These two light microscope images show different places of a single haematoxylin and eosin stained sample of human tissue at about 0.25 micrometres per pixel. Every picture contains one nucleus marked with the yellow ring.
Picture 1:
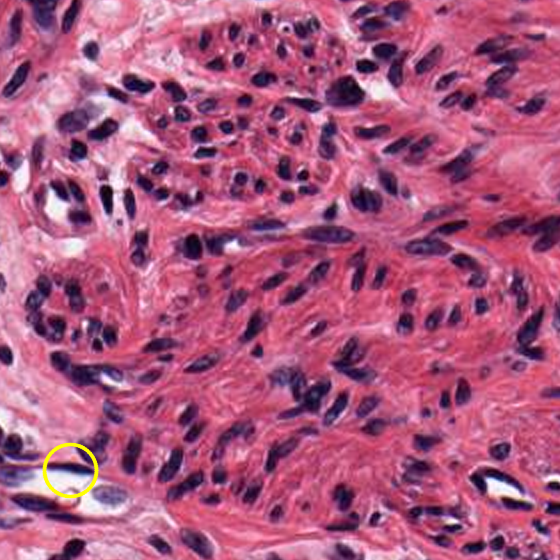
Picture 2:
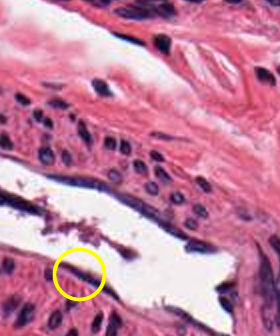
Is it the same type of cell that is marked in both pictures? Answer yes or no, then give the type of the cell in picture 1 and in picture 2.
Yes, both are endothelial cells.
